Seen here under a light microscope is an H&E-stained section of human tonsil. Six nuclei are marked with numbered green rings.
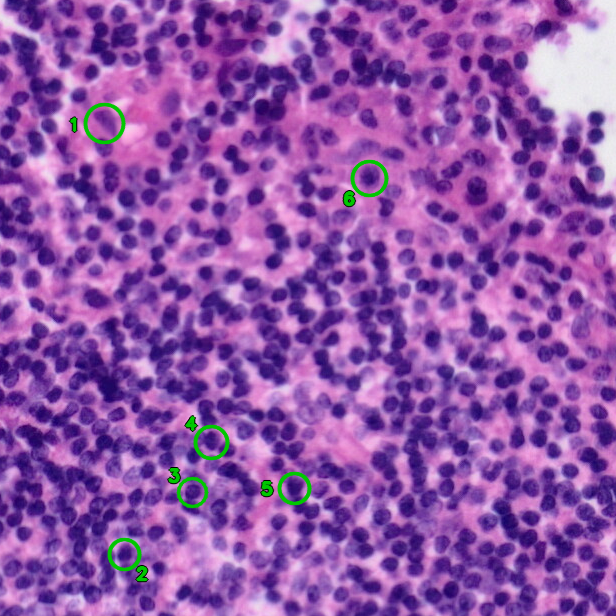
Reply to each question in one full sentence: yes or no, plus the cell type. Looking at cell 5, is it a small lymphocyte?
Yes, it is a small lymphocyte that carries the number 5.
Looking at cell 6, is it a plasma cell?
Yes, the cell indicated by number 6 is a plasma cell.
